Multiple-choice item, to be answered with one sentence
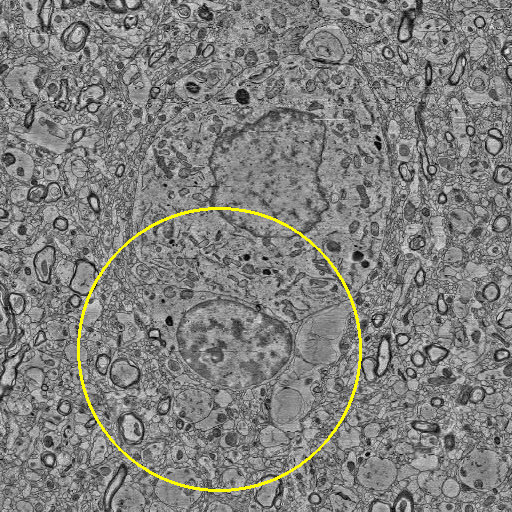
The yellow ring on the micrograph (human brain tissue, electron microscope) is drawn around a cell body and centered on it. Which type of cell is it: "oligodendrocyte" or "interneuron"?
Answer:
The ring is centered on an oligodendrocyte.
